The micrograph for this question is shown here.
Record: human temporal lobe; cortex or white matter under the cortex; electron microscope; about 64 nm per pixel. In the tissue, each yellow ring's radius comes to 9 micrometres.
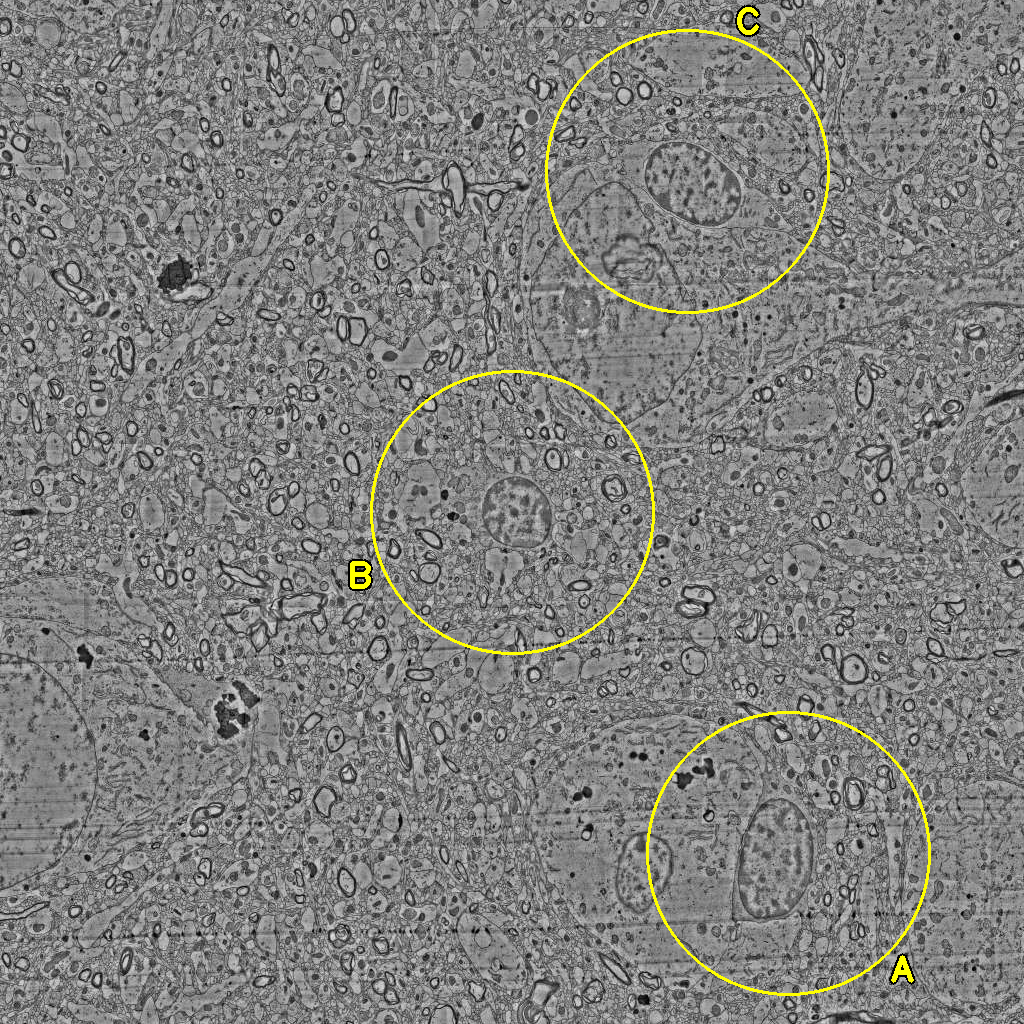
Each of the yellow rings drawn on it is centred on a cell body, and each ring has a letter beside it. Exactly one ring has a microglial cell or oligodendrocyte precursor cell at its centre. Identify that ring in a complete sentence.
The ring centred on it is ring C.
